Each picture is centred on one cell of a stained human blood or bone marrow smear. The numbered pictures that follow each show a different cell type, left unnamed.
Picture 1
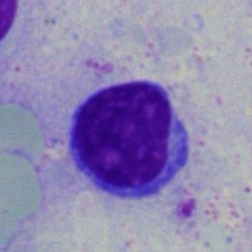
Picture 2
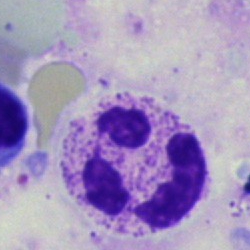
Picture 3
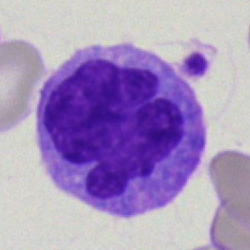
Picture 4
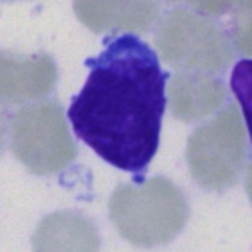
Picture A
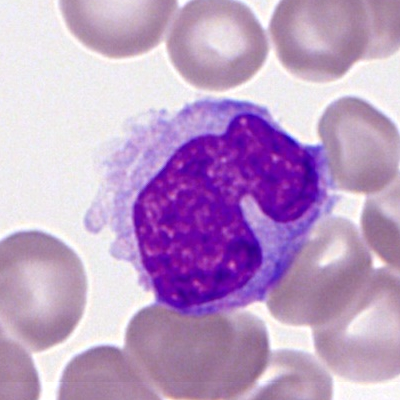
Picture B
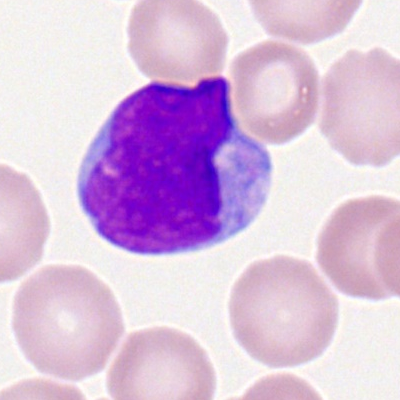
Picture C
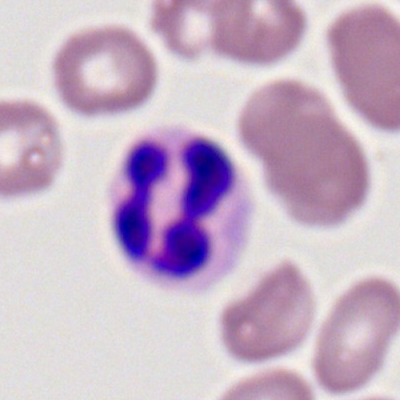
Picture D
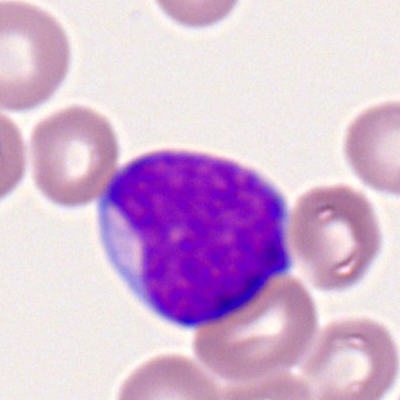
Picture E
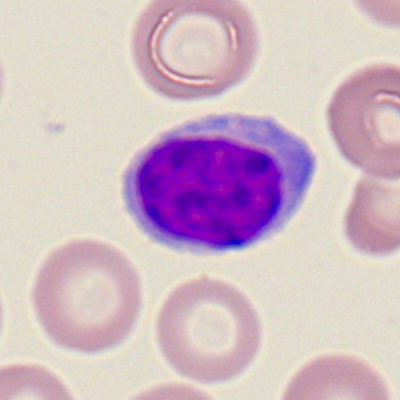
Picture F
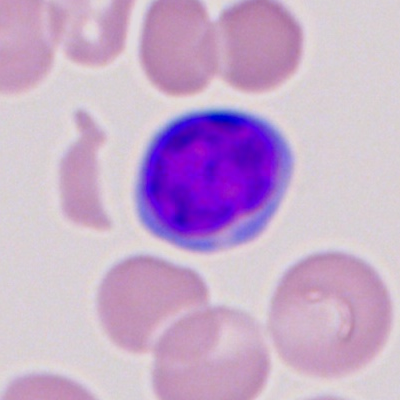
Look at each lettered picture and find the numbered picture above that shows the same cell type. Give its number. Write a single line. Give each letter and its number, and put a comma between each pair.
A 3, B 4, C 2, D 4, E 1, F 1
